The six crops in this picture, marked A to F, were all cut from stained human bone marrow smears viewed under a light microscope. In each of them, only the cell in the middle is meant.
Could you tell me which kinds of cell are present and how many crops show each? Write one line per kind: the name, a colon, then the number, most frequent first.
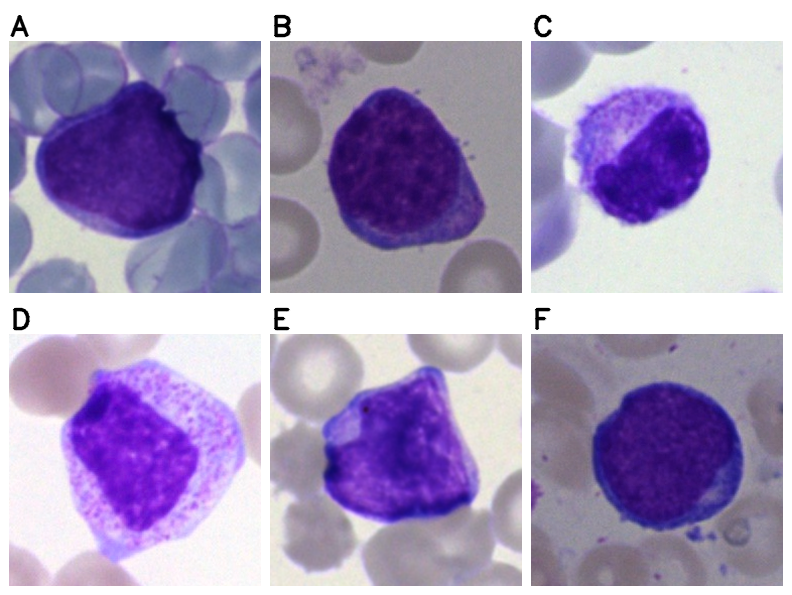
blast: 4
myelocyte: 2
